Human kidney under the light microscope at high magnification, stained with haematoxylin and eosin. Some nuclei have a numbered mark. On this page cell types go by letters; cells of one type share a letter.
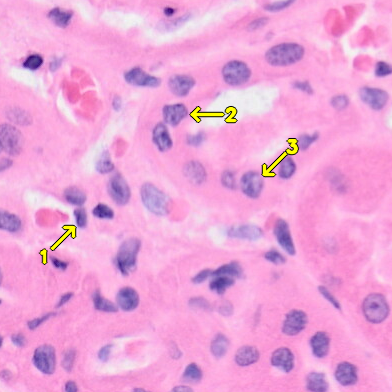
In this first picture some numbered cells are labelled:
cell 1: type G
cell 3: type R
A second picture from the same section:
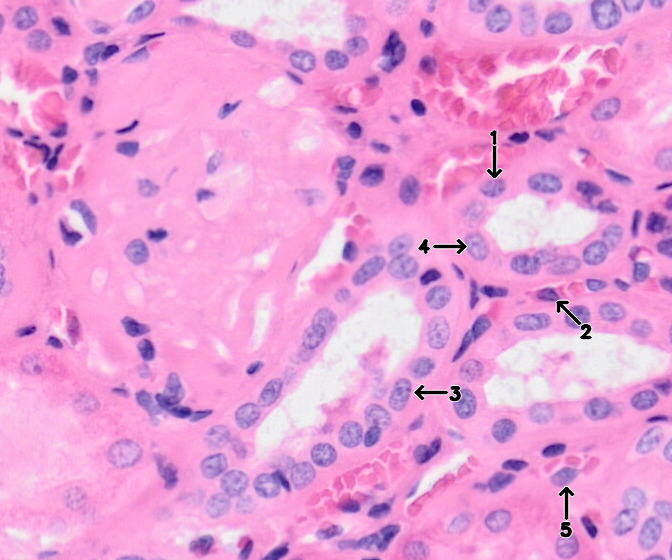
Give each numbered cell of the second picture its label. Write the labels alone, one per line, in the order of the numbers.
type R
type G
type R
type R
type G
